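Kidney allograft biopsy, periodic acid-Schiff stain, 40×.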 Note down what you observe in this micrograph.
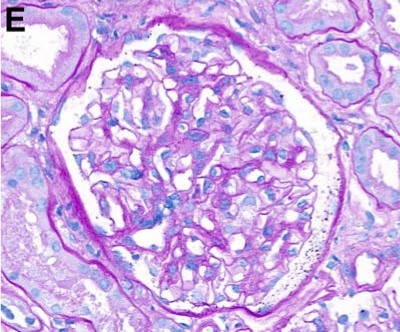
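Nuclei are scattered rather than crowded through the tuft. Bowman's space is visible around the tuft, bounded by a magenta capsule, and surrounding tubules with pink cytoplasm and magenta basement membranes lie outside.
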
